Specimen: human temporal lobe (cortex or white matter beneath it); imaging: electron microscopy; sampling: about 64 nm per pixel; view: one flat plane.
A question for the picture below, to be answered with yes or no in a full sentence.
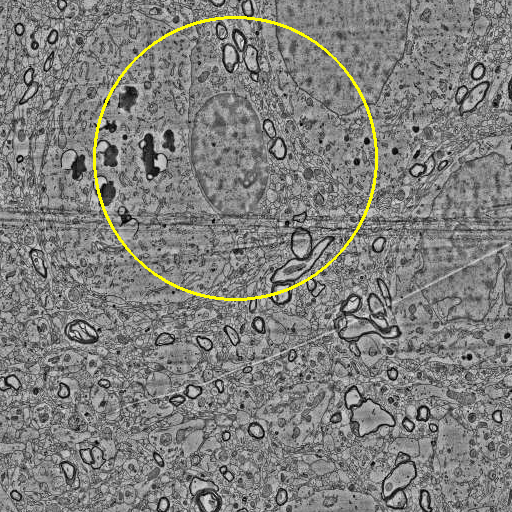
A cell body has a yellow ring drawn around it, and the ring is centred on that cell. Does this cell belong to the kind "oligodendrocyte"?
Yes, the pictured cell at the ring's centre belongs to that kind.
